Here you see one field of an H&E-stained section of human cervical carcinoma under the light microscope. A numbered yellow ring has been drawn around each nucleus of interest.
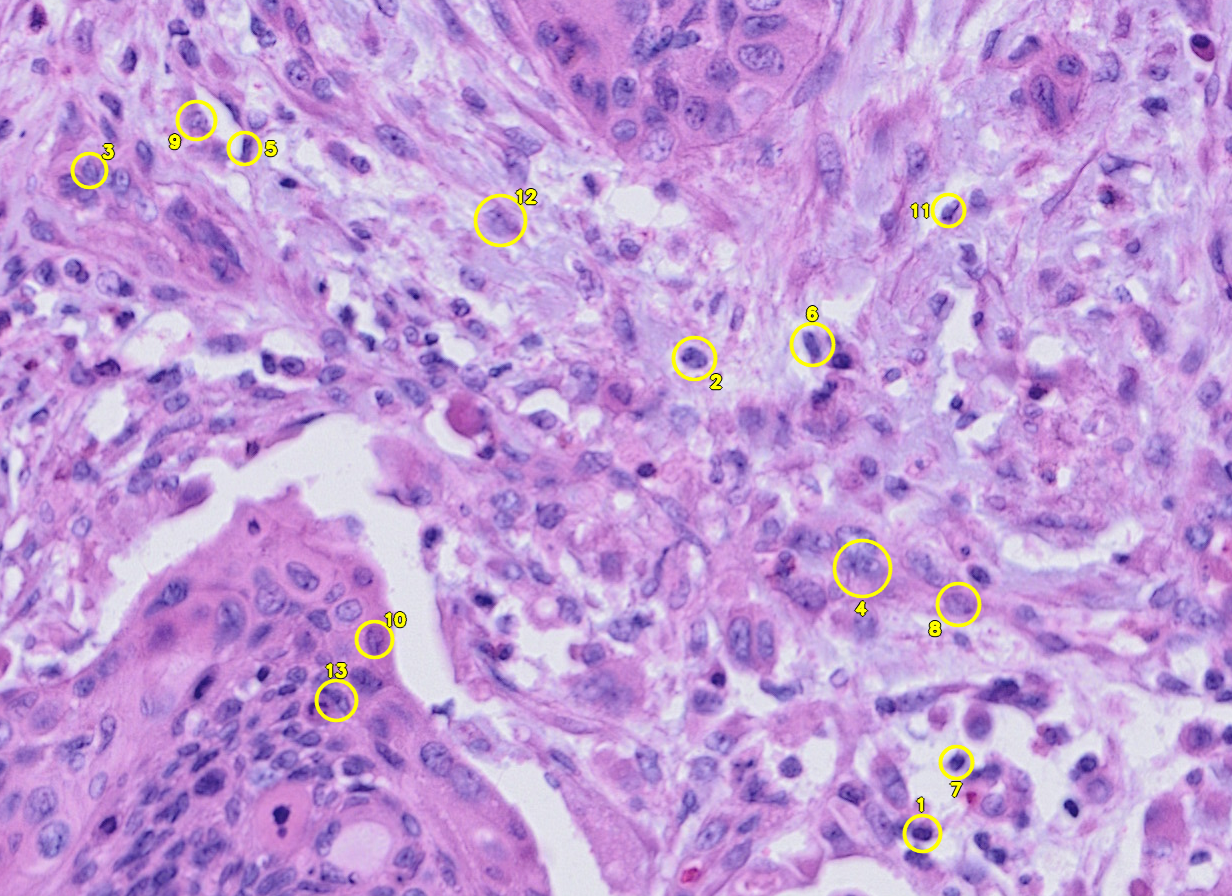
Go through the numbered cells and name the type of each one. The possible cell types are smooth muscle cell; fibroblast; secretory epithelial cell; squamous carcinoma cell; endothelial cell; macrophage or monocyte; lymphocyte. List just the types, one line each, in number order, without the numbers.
lymphocyte
lymphocyte
endothelial cell
endothelial cell
endothelial cell
lymphocyte
lymphocyte
endothelial cell
endothelial cell
squamous carcinoma cell
lymphocyte
fibroblast
squamous carcinoma cell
